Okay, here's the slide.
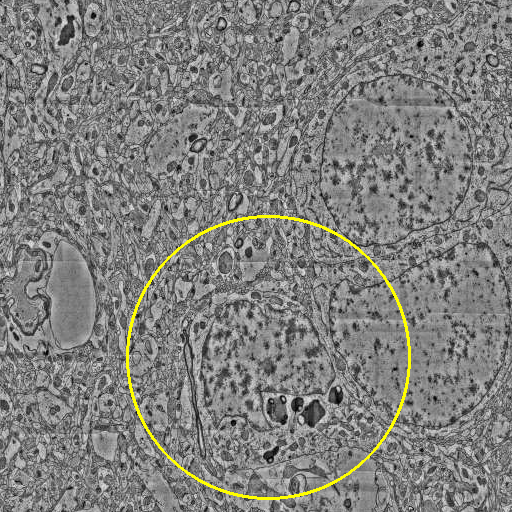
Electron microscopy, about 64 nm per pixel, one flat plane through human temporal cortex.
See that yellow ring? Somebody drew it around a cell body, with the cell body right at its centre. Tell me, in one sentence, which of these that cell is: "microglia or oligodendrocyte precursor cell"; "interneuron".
The cell in the middle of the ring is an interneuron.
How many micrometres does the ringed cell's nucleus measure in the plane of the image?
Roughly 9 micrometers across, in this plane.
